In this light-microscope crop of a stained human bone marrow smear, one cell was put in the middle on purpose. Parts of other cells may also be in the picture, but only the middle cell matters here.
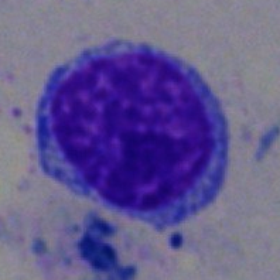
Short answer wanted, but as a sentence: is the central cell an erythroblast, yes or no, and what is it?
No, that would be a lymphocyte, not an erythroblast, for the cell at the centre.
